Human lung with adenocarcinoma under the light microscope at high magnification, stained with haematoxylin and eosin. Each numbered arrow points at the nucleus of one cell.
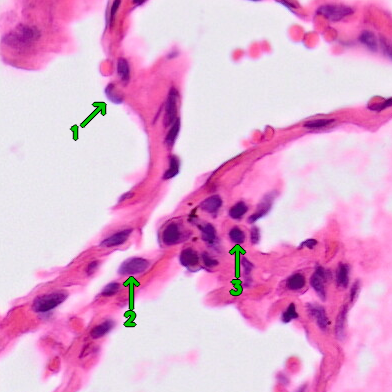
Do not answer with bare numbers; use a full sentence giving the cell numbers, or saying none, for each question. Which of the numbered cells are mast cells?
Exactly one numbered cell is a mast cell, and that cell is number 3.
